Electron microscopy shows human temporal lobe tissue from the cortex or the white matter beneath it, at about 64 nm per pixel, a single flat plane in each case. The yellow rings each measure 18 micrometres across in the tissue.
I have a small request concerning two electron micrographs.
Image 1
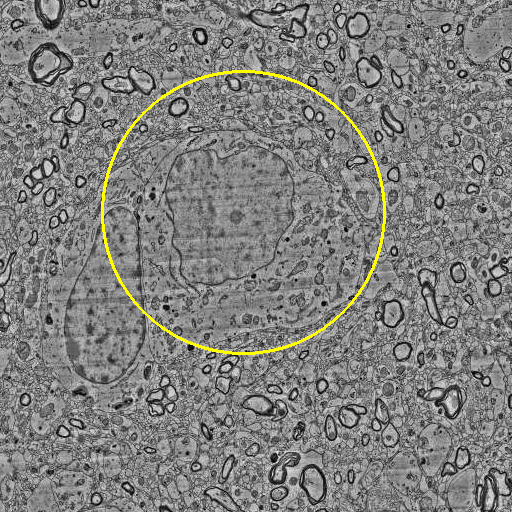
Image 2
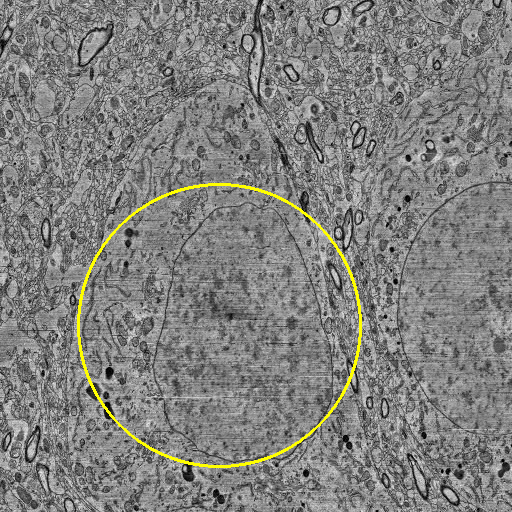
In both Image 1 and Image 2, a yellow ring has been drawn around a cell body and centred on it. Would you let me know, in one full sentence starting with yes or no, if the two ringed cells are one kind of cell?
Yes, the cells ringed in Image 1 and Image 2 are one kind of cell.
